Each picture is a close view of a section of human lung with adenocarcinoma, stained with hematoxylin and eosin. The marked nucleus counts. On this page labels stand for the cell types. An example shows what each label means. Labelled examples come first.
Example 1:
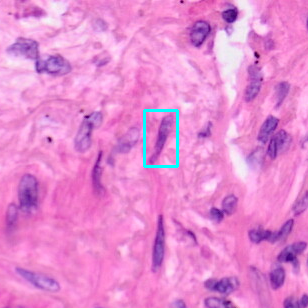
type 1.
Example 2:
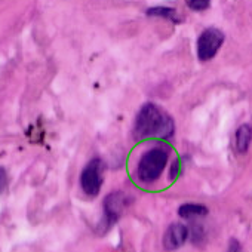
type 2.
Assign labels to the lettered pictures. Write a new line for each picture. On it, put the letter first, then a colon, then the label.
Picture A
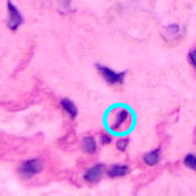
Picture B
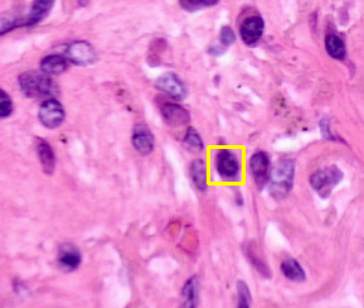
A: type 1.
B: type 2.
